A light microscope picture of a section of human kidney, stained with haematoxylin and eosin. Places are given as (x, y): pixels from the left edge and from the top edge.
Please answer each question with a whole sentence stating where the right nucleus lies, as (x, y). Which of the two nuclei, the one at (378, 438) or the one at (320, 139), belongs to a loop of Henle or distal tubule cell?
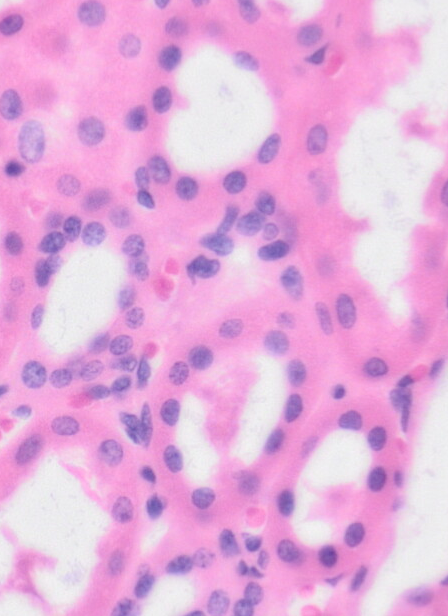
The nucleus at (378, 438), rather than the other, belongs to a loop of Henle or distal tubule cell.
